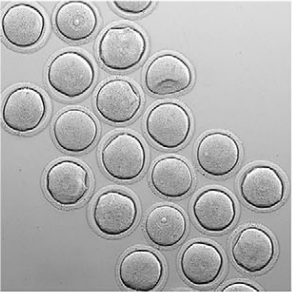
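Round oocytes of nearly equal size are packed in a single layer, each surrounded by a thick, clear zona pellucida. The cytoplasm looks finely granular and evenly textured, filling almost the whole space within the zona. These are oocytes at the stage of germinal vesicle breakdown, when the large nucleus is no longer set off as a clear round area.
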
